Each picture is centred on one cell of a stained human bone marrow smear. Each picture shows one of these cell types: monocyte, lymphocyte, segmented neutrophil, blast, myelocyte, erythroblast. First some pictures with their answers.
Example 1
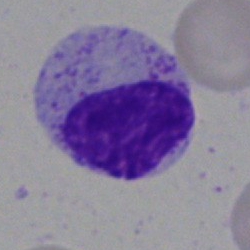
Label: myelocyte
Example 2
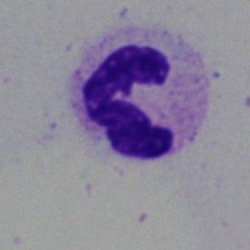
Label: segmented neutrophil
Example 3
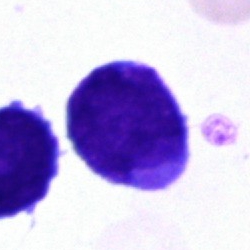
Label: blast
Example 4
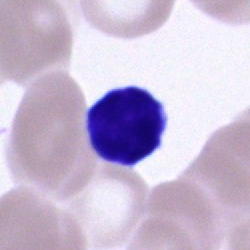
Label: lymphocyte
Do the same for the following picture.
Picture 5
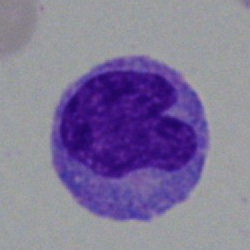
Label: monocyte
